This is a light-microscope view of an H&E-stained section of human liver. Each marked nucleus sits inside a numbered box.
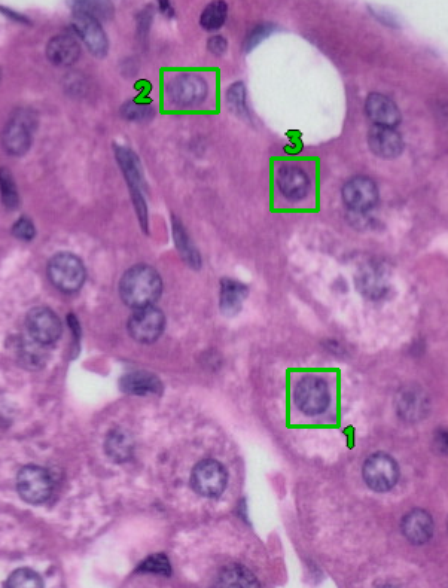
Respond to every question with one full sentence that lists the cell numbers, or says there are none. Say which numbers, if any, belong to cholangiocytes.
Among the cells marked with numbers, the only one that is a cholangiocyte is number 2.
